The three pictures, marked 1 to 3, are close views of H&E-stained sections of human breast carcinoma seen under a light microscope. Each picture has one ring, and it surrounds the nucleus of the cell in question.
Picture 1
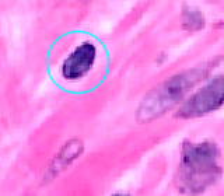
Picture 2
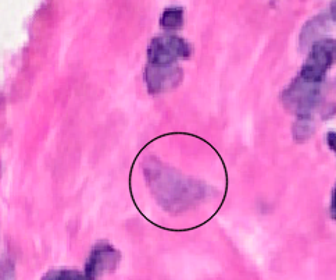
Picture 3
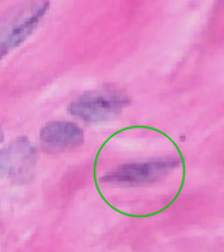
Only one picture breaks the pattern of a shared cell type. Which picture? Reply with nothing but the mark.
1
